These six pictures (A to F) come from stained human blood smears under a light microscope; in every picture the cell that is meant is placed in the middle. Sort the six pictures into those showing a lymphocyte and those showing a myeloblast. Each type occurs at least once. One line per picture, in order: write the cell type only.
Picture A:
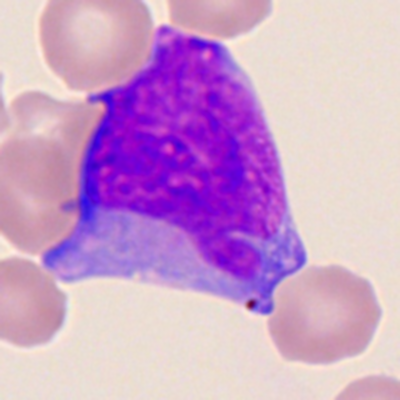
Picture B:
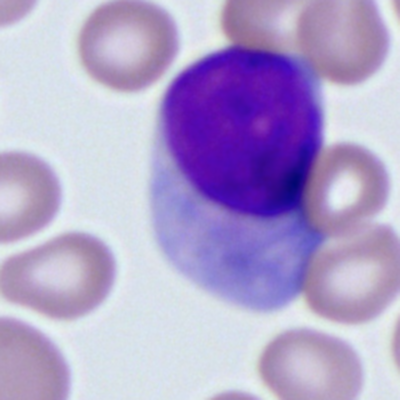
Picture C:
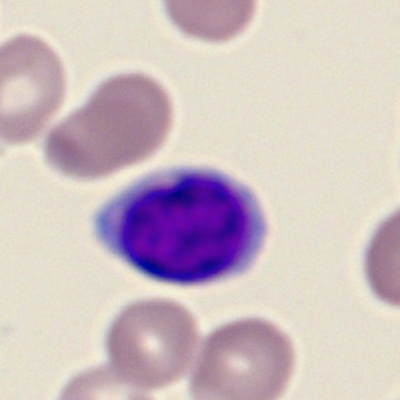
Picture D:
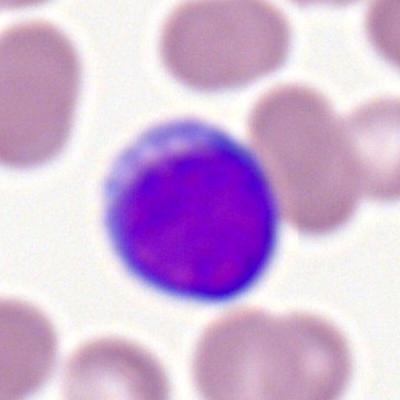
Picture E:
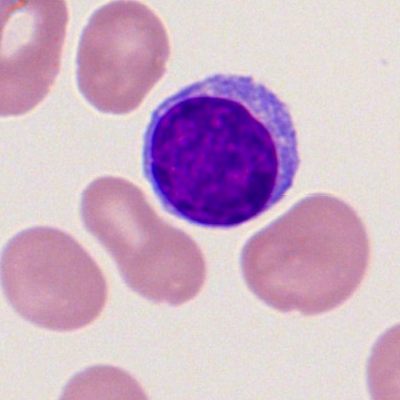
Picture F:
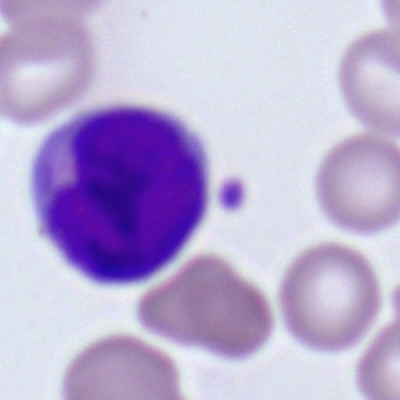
myeloblast
myeloblast
lymphocyte
myeloblast
lymphocyte
myeloblast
